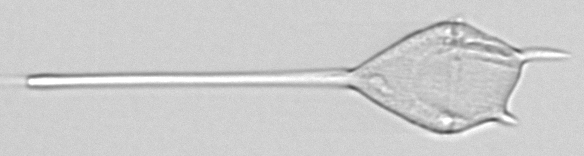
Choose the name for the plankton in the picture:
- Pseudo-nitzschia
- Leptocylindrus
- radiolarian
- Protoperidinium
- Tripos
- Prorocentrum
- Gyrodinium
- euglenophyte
Tripos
